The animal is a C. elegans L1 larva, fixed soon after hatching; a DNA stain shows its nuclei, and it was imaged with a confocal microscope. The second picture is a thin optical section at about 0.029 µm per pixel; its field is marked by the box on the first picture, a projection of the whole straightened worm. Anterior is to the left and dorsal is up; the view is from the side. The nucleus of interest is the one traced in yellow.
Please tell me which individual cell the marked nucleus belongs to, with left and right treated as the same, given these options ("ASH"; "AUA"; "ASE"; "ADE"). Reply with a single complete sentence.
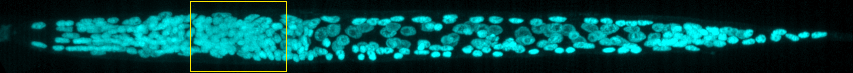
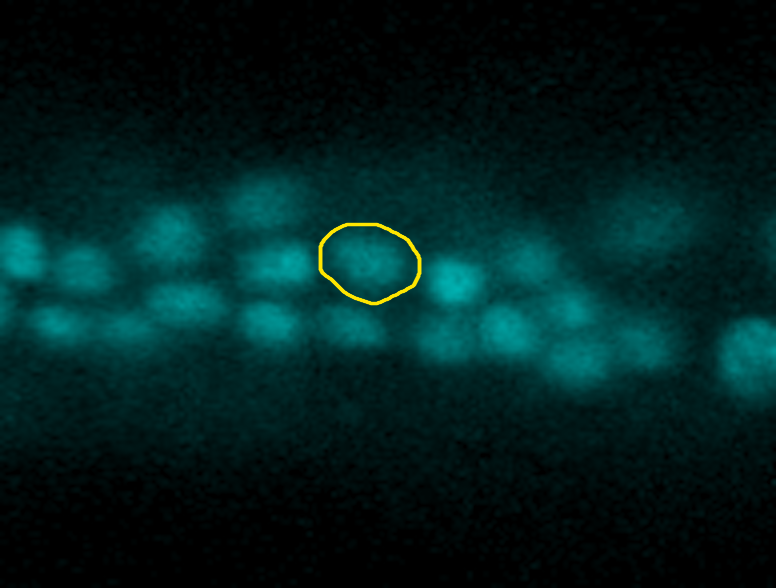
It is the nucleus of ASE, a neuron.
